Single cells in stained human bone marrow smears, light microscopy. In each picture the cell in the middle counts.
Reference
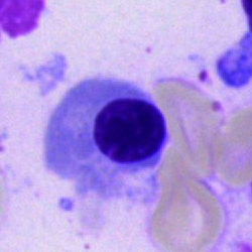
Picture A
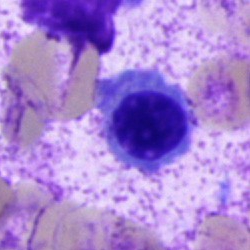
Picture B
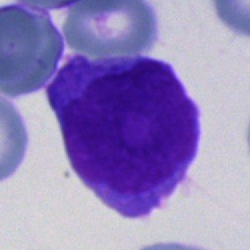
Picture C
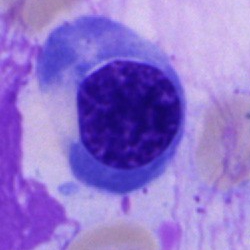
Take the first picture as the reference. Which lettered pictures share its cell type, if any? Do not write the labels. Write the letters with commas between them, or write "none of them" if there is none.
A, C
